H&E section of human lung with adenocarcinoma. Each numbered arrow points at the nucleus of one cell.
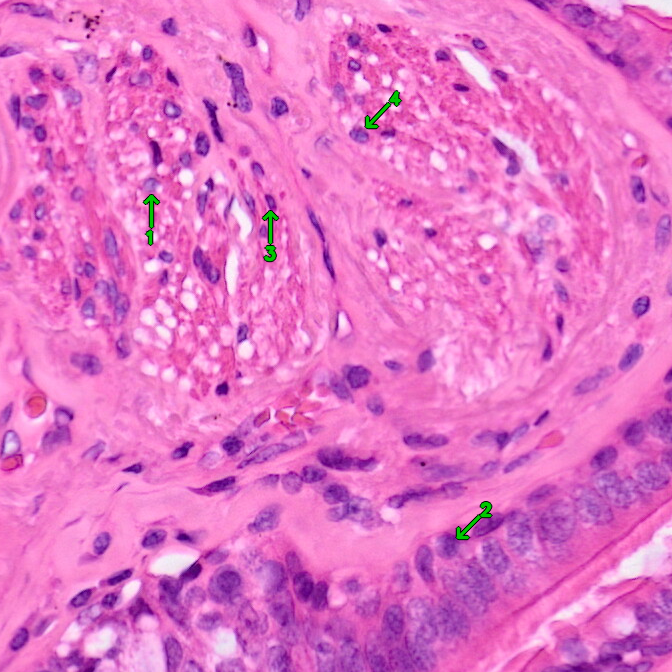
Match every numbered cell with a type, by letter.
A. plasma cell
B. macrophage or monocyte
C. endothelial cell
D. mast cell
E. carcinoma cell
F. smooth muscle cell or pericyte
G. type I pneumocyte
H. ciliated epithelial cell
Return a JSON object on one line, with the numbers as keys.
{"1": "F", "2": "H", "3": "F", "4": "F"}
